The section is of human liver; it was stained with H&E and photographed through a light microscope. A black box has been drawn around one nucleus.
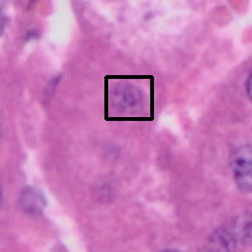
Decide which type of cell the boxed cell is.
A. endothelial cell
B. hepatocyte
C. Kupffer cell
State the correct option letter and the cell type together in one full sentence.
Settle on option B; the boxed cell is a hepatocyte.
